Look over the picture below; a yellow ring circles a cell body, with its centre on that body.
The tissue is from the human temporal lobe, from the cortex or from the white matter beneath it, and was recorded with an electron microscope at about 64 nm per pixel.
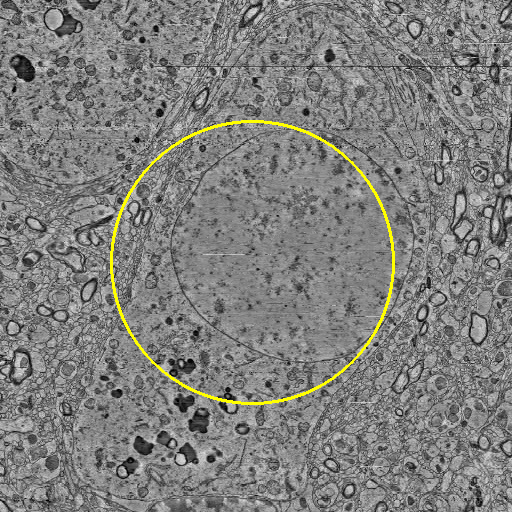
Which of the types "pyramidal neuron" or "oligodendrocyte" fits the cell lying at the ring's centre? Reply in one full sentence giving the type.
The picture shows a pyramidal neuron at the centre of the yellow ring.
